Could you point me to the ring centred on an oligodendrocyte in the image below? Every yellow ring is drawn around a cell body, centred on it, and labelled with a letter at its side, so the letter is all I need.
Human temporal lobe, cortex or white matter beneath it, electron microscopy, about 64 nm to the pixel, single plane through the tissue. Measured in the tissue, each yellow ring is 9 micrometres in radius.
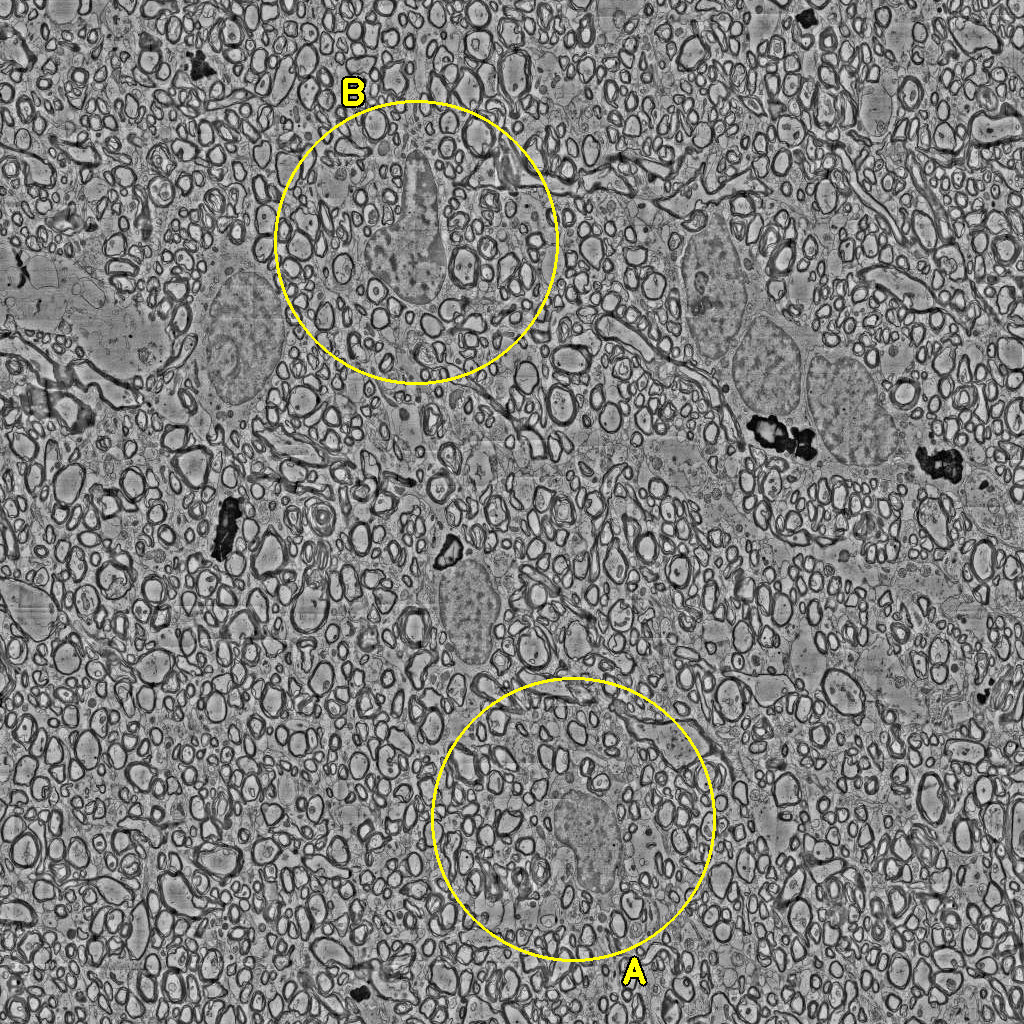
A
